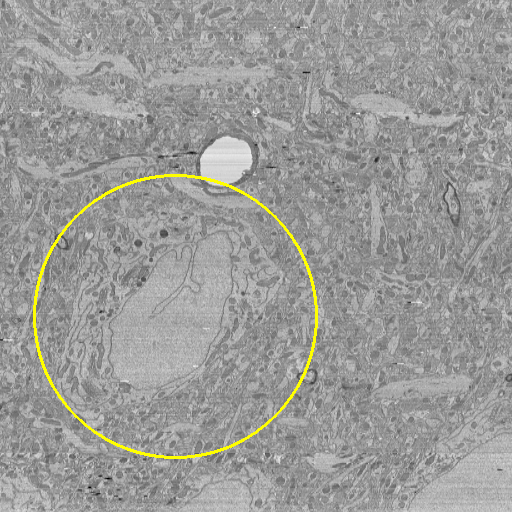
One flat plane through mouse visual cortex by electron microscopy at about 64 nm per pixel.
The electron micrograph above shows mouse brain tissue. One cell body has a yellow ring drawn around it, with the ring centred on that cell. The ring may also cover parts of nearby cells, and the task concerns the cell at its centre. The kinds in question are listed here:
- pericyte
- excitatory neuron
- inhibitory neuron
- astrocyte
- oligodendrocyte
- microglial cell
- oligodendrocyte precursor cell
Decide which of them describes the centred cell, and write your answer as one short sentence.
The centred cell is an inhibitory neuron.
